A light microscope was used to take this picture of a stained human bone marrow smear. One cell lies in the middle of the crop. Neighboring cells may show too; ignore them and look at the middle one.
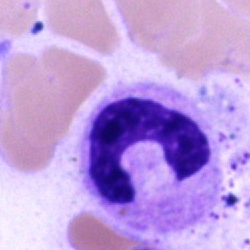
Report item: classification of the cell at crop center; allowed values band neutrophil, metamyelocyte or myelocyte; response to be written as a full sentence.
In the middle of this smear crop, the cell is a band neutrophil.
